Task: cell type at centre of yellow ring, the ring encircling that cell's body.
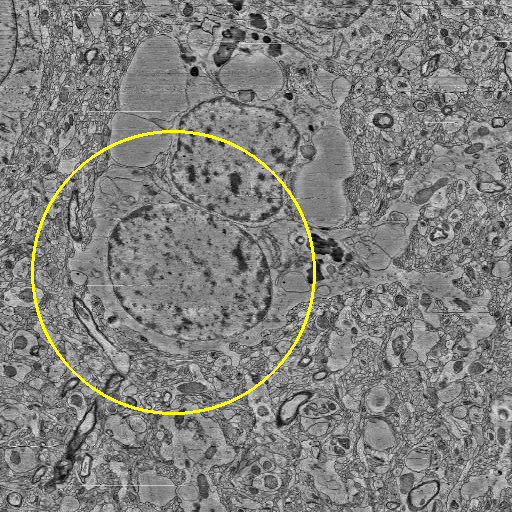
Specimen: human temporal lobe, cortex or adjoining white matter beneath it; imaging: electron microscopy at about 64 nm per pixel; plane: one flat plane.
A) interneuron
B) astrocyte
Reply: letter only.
B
